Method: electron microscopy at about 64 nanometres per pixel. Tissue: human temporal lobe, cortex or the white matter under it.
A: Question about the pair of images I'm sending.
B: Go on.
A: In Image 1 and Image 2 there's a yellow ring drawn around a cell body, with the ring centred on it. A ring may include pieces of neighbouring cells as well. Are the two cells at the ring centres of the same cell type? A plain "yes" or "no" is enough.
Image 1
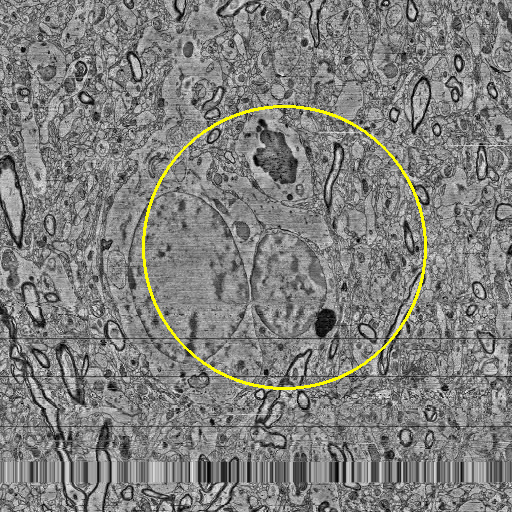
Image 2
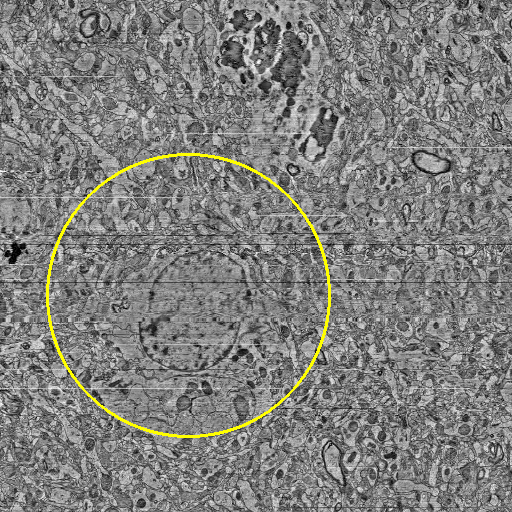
no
